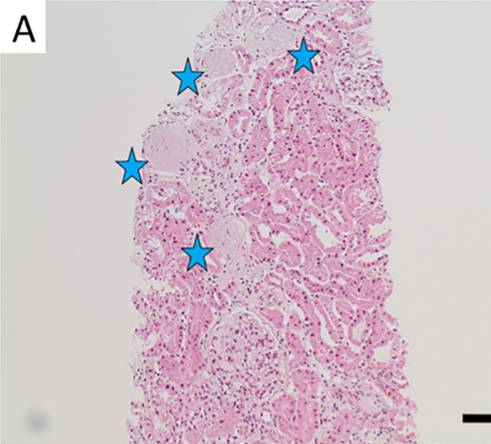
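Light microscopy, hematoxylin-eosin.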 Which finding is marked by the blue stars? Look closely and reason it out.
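Global glomerulosclerosis. These round structures hold almost no nuclei or open capillary loops. Cellular glomeruli and tubules elsewhere in the core look different, with many nuclei.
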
